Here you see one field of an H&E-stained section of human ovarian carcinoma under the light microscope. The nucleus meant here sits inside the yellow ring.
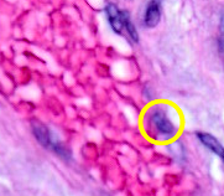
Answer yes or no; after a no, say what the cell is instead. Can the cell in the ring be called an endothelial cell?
Yes.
